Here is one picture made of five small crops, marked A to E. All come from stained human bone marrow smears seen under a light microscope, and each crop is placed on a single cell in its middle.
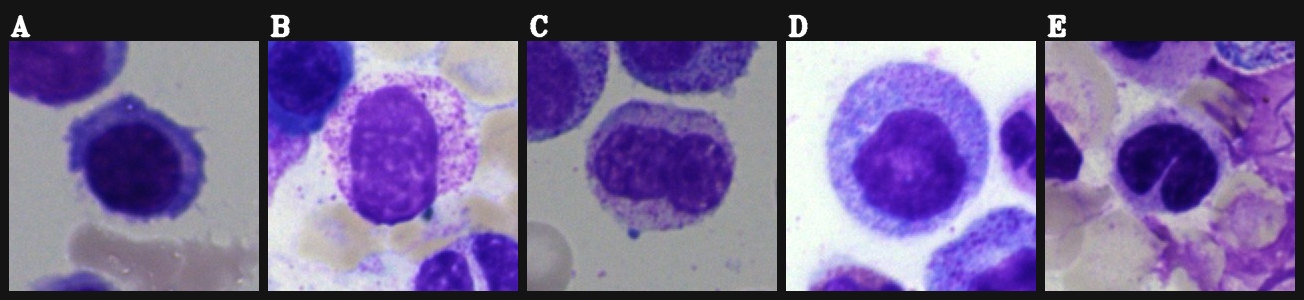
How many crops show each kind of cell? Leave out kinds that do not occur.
myelocyte: 2
band neutrophil: 2
plasma cell: 1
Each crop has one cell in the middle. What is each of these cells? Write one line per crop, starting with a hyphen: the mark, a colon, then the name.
- A: plasma cell
- B: myelocyte
- C: band neutrophil
- D: myelocyte
- E: band neutrophil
